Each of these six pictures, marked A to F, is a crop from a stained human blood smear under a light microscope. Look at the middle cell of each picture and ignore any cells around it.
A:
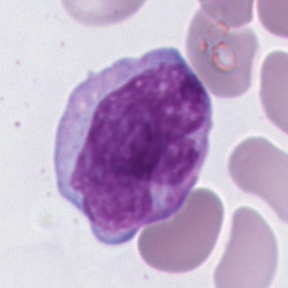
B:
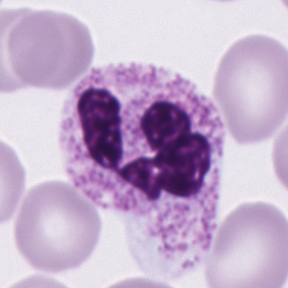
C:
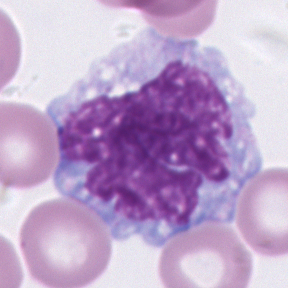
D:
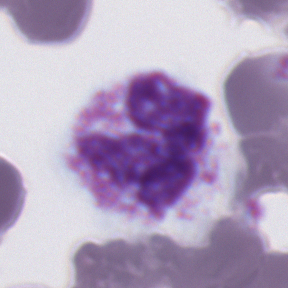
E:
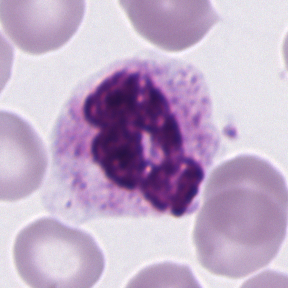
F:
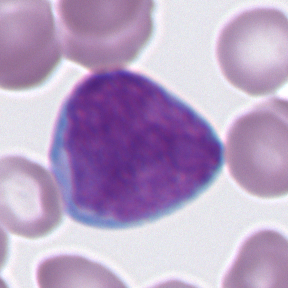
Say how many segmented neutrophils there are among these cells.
3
